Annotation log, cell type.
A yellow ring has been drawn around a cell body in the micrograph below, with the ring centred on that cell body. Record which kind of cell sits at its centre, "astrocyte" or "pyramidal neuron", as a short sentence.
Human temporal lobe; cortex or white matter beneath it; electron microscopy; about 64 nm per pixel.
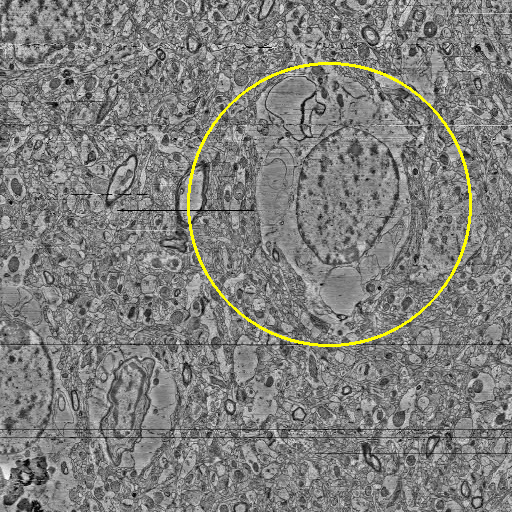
The cell at the centre of this ring is an astrocyte.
